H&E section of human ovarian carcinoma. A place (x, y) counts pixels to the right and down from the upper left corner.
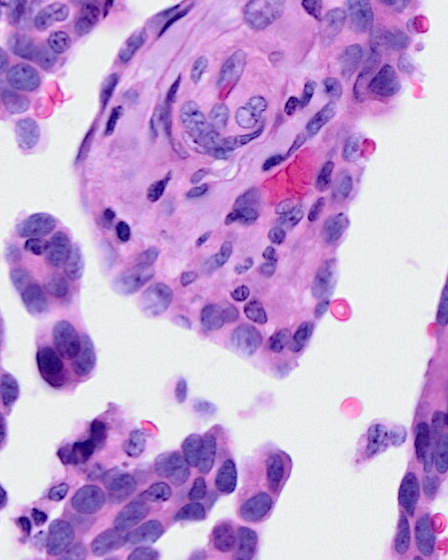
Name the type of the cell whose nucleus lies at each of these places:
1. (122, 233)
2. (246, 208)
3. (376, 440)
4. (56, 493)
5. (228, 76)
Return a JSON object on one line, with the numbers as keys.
{"1": "lymphocyte", "2": "endothelial cell", "3": "macrophage or monocyte", "4": "macrophage or monocyte", "5": "endothelial cell"}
